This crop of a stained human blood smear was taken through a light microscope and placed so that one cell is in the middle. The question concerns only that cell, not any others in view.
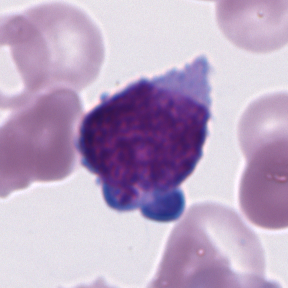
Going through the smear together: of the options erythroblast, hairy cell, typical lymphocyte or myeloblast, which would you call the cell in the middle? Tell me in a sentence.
At the crop's centre, the cell is a myeloblast.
